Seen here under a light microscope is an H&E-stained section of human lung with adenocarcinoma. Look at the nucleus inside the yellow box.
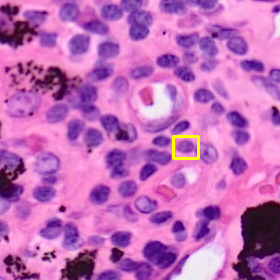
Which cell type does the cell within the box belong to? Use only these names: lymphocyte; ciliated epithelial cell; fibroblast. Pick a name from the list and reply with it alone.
lymphocyte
